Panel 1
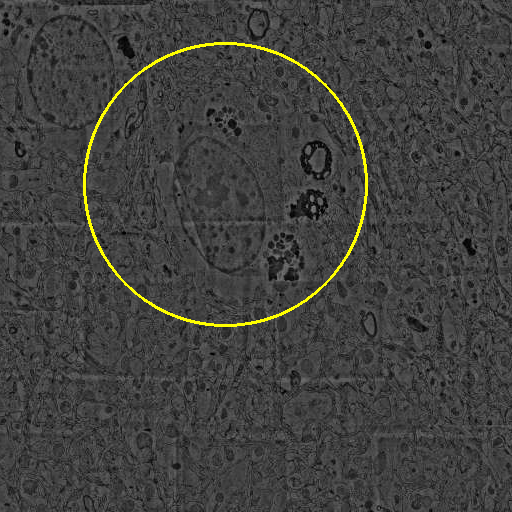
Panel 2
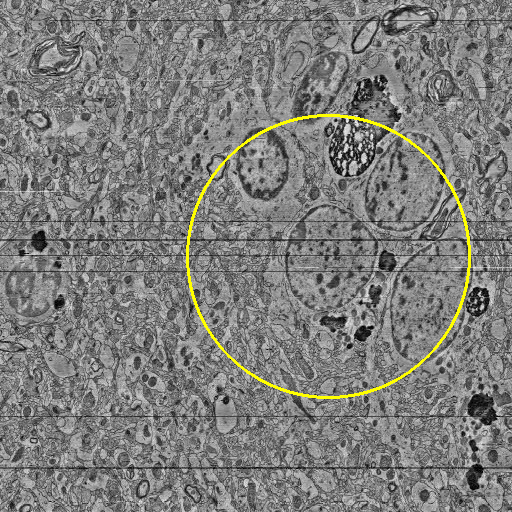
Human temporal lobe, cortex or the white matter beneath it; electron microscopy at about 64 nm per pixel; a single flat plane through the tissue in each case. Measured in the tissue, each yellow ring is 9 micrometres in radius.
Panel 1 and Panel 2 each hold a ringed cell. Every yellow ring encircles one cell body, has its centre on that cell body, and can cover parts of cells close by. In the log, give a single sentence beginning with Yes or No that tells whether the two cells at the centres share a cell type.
Yes, in Panel 1 and Panel 2 the centred cells share a cell type.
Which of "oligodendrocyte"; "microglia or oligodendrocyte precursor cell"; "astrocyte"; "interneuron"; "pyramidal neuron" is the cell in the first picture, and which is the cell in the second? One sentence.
The cell at the ring centre is an astrocyte in both pictures.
